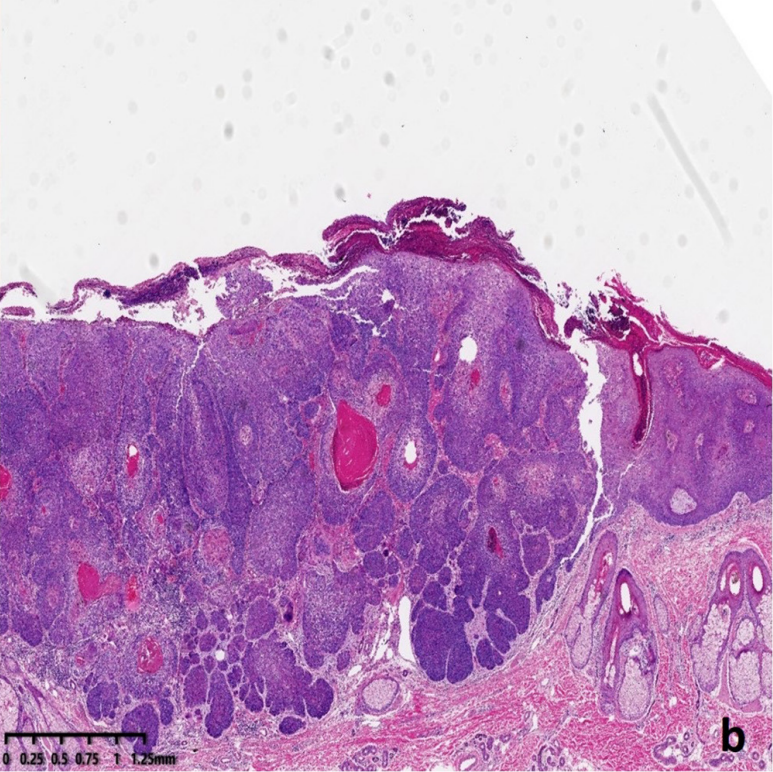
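At low power this is skin in which the epidermis has been replaced by a thick, crowded mass of purple-staining squamous epithelium. This mass breaks up below the surface into many irregular, rounded nests and lobules that push down into the pink collagen of the dermis. Several nests have glassy, bright pink centres wrapped in paler, layered cells, the look of keratin pearls. The surface carries a ragged, dark pink crust of keratin with clefts beneath it. At the lower right, ordinary hair follicles and sebaceous glands sit in the dermis beside the tumour, and together these features fit a well-differentiated squamous cell carcinoma.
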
